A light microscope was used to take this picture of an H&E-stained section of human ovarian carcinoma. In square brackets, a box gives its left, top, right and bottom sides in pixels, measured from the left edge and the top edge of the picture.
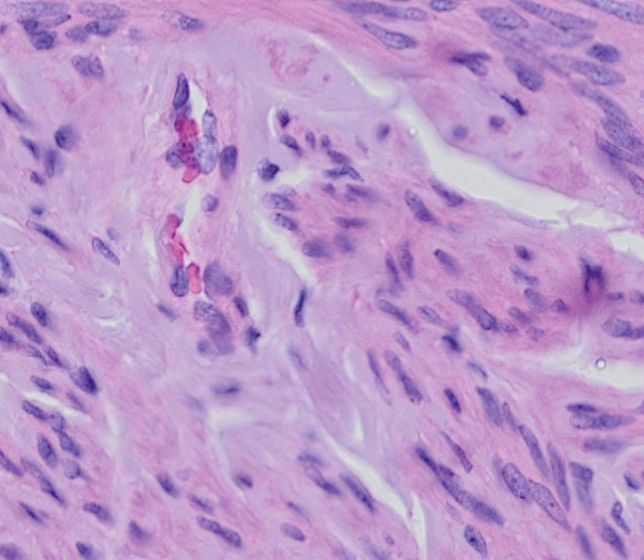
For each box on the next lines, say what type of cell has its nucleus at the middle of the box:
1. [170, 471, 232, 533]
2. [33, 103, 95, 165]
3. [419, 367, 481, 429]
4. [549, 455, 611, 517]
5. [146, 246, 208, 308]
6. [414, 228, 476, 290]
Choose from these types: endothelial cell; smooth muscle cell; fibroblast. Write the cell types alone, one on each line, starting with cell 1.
smooth muscle cell
fibroblast
smooth muscle cell
smooth muscle cell
endothelial cell
smooth muscle cell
